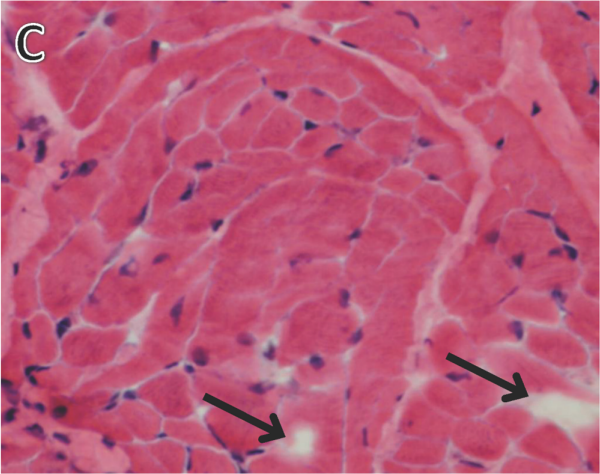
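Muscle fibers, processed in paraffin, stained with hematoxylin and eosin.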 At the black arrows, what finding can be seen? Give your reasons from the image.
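The arrows point to small clear spaces among pink fibers. Most fibers have solid pink cytoplasm. On this evidence: empty vacuoles.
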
